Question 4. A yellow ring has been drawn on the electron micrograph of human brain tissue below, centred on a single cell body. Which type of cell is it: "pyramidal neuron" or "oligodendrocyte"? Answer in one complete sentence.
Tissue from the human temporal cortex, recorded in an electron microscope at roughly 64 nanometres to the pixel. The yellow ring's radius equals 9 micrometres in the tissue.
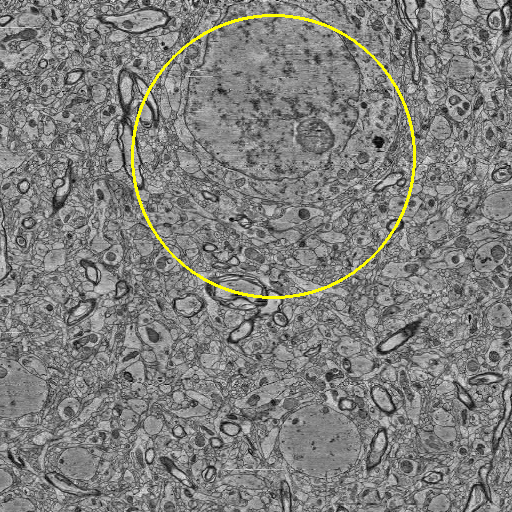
This cell body belongs to a pyramidal neuron.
